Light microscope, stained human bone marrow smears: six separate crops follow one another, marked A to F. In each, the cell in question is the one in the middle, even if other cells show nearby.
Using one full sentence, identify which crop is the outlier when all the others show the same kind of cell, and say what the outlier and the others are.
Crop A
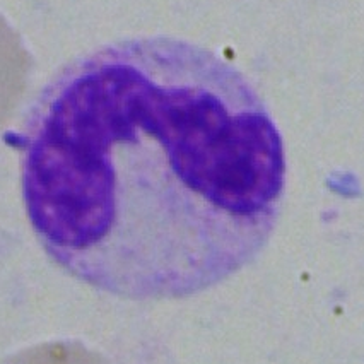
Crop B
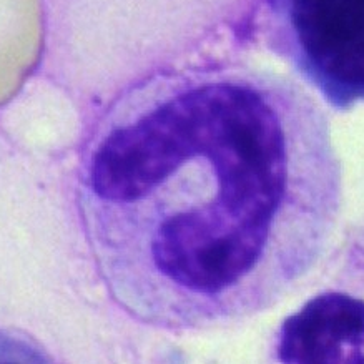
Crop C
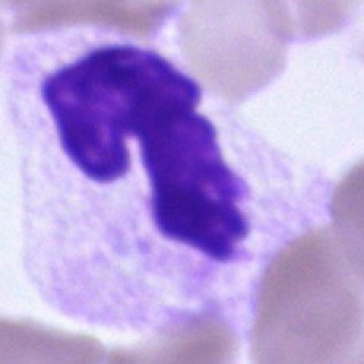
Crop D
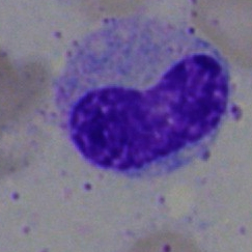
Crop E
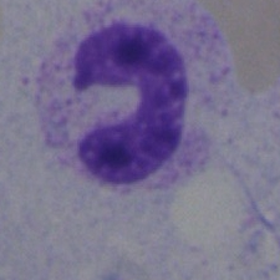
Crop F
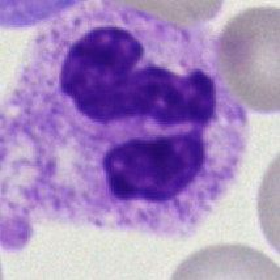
Crop F is the one that is a segmented neutrophil, and the other crops all show band neutrophils.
